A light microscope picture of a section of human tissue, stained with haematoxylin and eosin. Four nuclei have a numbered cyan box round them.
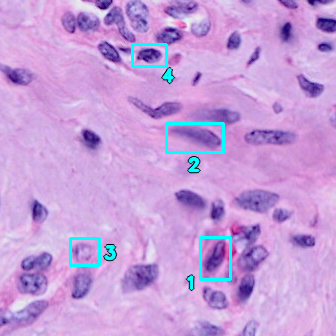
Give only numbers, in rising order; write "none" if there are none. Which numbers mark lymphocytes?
4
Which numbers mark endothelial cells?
1, 3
